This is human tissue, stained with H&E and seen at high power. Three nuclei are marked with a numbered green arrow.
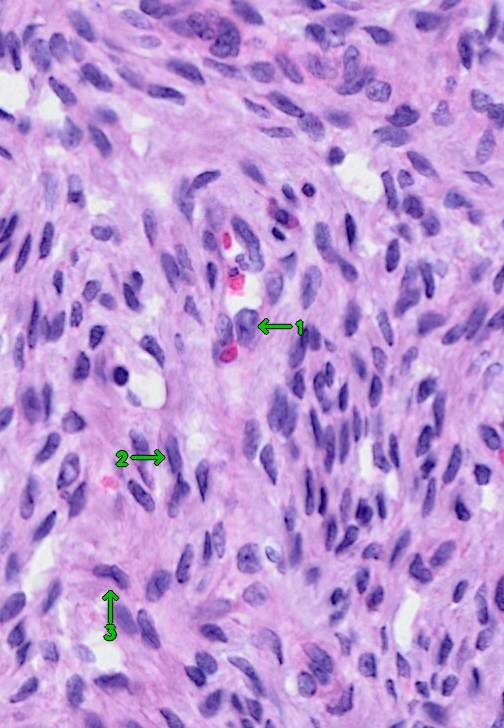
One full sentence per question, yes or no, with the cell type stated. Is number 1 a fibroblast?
No, cell 1, which is an endothelial cell, is not a fibroblast.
